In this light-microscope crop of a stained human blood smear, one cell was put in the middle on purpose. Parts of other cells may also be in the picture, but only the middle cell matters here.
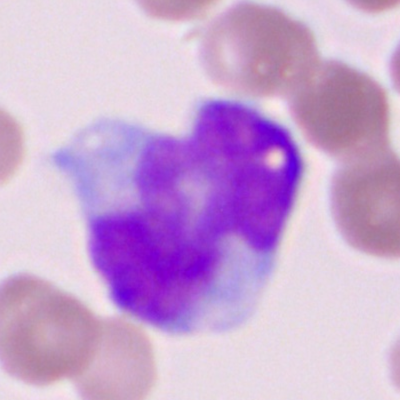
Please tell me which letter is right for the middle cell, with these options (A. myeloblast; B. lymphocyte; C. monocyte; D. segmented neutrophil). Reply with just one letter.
C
